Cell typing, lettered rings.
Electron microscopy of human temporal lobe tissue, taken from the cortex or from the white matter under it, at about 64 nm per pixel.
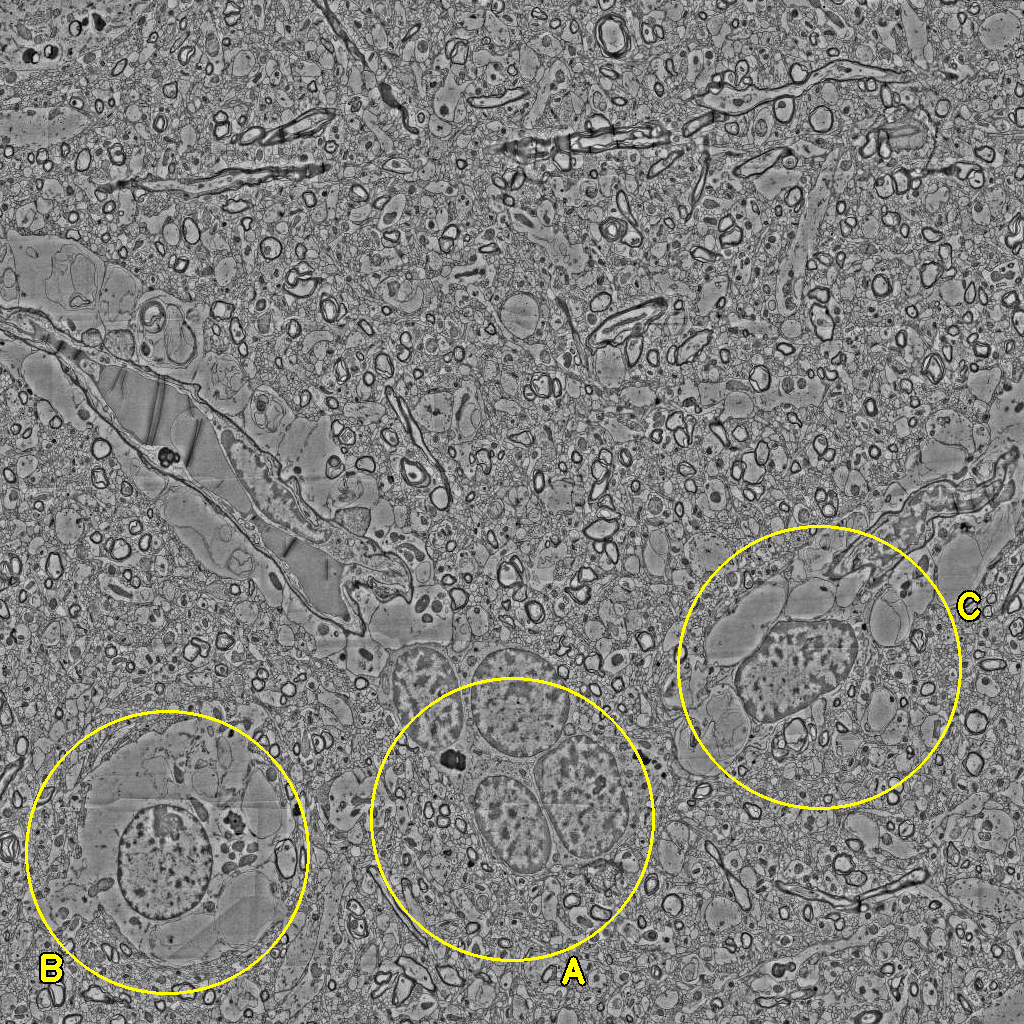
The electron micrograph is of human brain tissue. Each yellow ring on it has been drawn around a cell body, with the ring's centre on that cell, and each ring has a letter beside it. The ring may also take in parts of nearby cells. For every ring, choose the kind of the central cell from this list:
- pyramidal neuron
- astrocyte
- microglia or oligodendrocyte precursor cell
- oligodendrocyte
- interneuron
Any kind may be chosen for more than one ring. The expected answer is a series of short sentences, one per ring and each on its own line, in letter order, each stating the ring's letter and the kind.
For ring A, the centred cell is an oligodendrocyte.
For ring B, the centred cell is an astrocyte.
For ring C, the centred cell is a microglial cell or oligodendrocyte precursor cell.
